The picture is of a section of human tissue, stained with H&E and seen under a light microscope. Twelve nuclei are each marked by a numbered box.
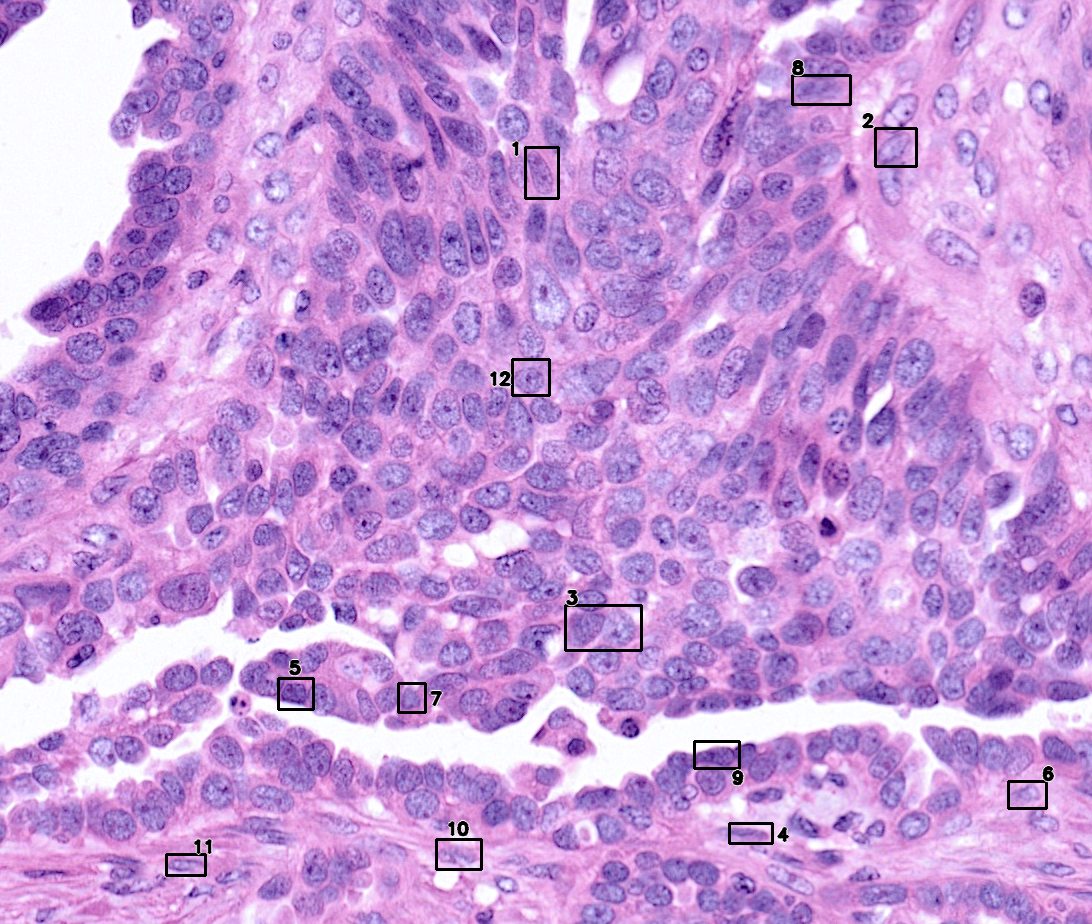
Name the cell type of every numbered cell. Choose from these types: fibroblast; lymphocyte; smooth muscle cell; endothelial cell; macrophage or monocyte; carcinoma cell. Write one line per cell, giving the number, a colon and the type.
1: carcinoma cell
2: fibroblast
3: carcinoma cell
4: fibroblast
5: carcinoma cell
6: fibroblast
7: carcinoma cell
8: carcinoma cell
9: carcinoma cell
10: fibroblast
11: fibroblast
12: carcinoma cell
